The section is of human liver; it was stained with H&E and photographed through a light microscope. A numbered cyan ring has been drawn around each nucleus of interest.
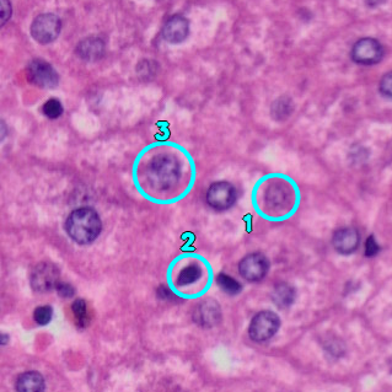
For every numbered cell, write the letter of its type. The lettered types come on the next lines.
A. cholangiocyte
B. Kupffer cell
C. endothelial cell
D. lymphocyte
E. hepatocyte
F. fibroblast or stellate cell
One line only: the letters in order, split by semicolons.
E; D; E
